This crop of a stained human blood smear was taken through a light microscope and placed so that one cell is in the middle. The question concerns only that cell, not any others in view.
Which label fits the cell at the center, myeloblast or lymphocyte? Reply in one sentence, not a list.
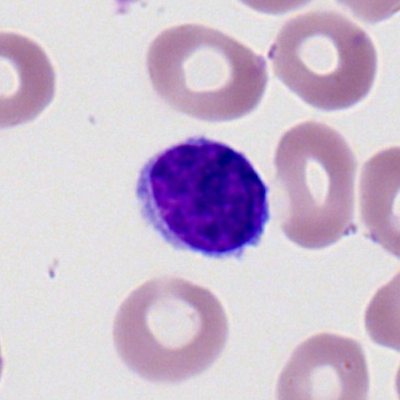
Here the cell in the middle is a lymphocyte.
